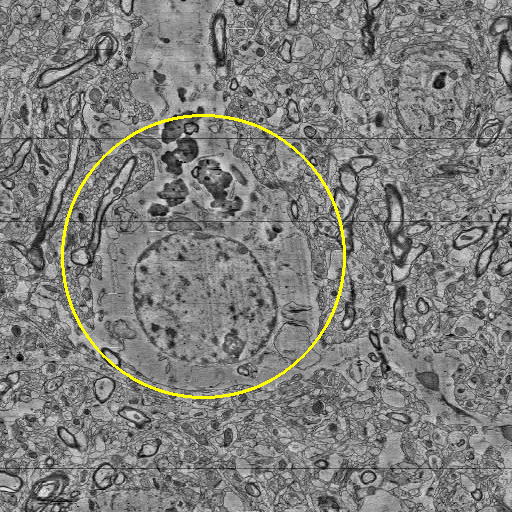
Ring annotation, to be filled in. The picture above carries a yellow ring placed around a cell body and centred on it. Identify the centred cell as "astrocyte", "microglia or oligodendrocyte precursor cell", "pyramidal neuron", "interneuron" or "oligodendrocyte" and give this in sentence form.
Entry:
The cell in the middle of the ring is an astrocyte.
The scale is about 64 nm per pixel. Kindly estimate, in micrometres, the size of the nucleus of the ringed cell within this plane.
Roughly 9 micrometres across, measured in this plane.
